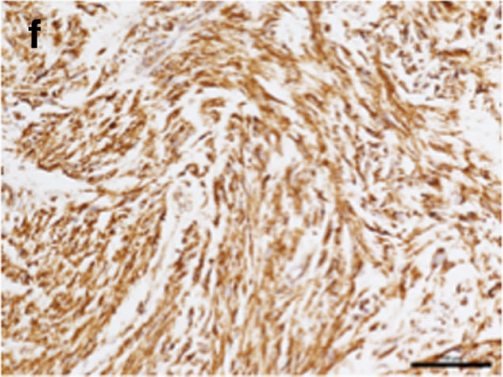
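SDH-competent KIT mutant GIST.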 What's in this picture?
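A spindle cell tumor in which nearly every tumor cell shows strong brown cytoplasmic staining. The cells are elongated and slender, arranged in long intersecting fascicles and streams that sweep across the field in curving bundles. Nuclei are elongate and largely obscured by the dense brown cytoplasm. Between bundles there are narrow pale clefts and spaces of loose stroma without stain. The staining is diffuse and even across the tumor rather than confined to vessels, so the architecture of interwoven fascicles is outlined by the brown cells themselves.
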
